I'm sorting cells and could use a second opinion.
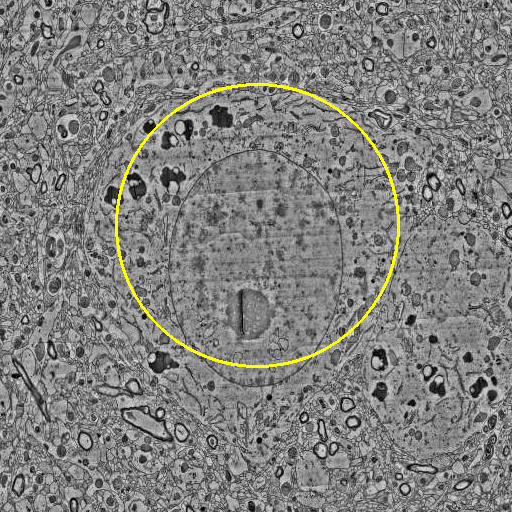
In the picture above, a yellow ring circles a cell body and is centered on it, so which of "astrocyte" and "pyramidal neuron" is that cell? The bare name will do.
pyramidal neuron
